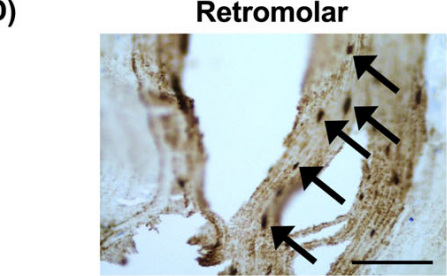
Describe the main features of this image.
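These are strands of bone with fine lamellar striations in a light brown tint, running obliquely across a pale background. Several osteocytes within the matrix stand out as small dark brown to black elongated bodies, lying in line with the lamellae. The spaces between the bone strands are largely empty and unstained.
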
